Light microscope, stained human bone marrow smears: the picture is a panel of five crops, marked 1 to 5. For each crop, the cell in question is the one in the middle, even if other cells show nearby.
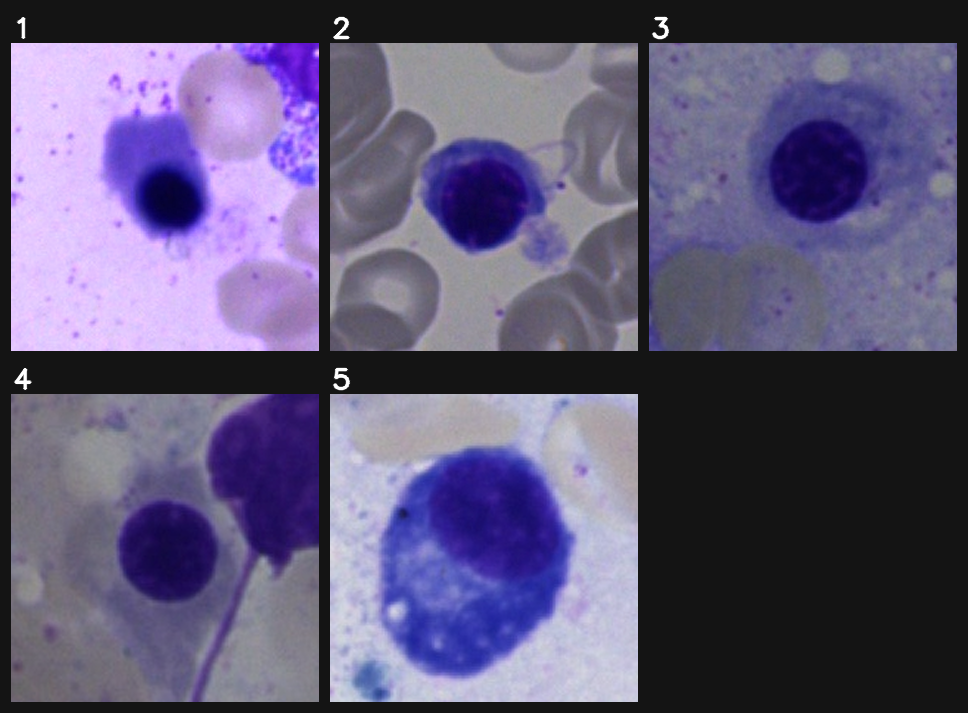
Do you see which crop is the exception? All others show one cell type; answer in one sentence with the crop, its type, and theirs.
Crop 5 does not fit, being a plasma cell where all the others show erythroblasts.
